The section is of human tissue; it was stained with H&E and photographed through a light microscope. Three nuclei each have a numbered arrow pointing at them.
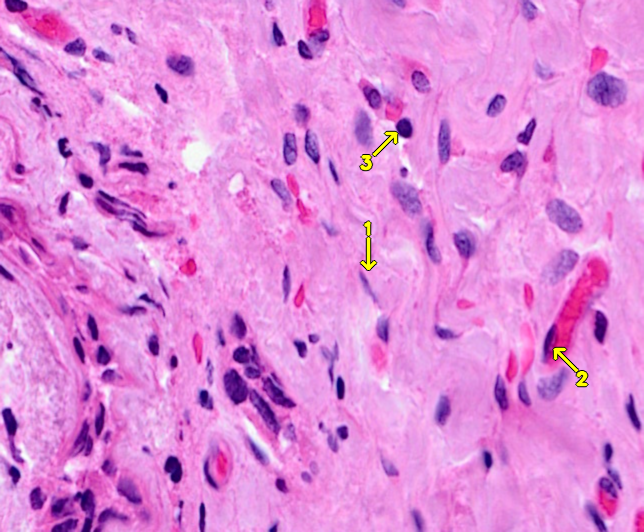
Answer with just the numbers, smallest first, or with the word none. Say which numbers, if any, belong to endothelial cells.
2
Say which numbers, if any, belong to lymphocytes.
3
